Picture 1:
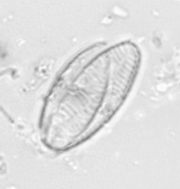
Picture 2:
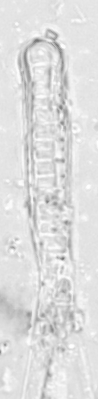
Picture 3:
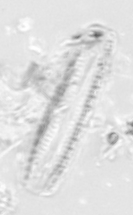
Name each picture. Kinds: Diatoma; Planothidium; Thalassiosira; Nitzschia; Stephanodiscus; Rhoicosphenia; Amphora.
1: Planothidium
2: Diatoma
3: Nitzschia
